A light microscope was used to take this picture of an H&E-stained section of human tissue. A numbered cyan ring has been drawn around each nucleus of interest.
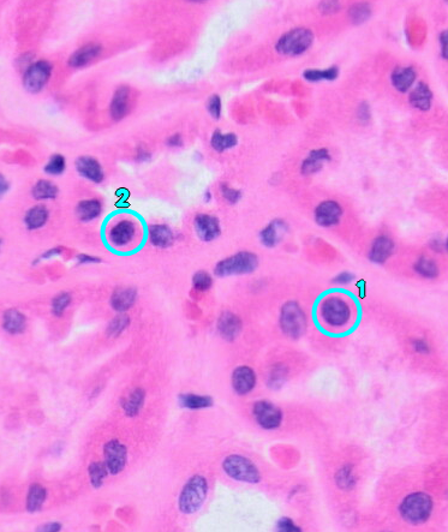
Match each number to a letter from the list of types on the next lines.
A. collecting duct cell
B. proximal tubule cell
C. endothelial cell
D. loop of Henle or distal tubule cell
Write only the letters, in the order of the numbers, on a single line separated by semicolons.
B; D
